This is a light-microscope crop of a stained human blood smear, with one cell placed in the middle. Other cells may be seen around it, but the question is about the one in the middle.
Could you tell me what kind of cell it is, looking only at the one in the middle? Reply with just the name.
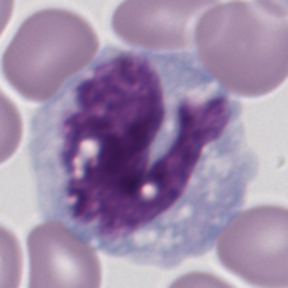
monocyte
